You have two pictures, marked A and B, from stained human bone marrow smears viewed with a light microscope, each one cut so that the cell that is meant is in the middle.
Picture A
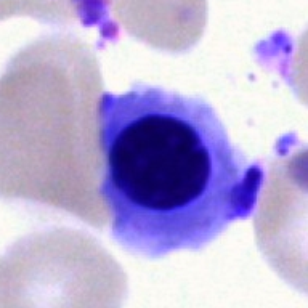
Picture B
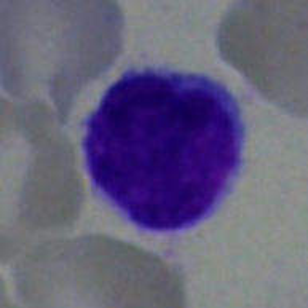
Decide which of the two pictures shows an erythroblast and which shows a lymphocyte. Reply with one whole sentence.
In picture A the cell is an erythroblast; in picture B, a lymphocyte.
